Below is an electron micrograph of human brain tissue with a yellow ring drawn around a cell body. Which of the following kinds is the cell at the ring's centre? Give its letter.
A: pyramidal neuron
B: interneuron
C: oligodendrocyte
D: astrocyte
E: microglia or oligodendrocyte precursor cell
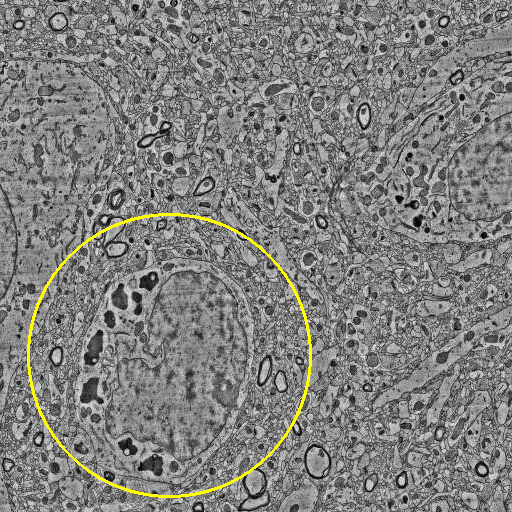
B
